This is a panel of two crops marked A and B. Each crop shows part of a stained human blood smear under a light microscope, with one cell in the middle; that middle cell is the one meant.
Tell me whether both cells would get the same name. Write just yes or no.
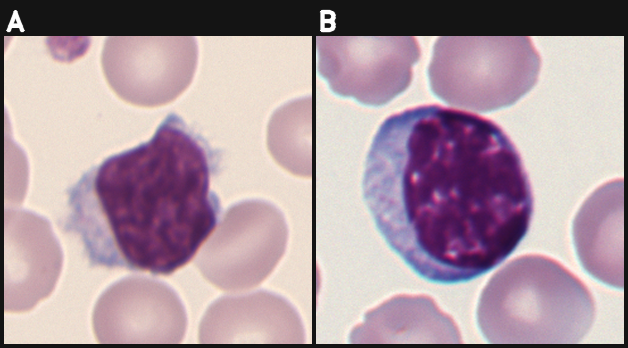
yes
